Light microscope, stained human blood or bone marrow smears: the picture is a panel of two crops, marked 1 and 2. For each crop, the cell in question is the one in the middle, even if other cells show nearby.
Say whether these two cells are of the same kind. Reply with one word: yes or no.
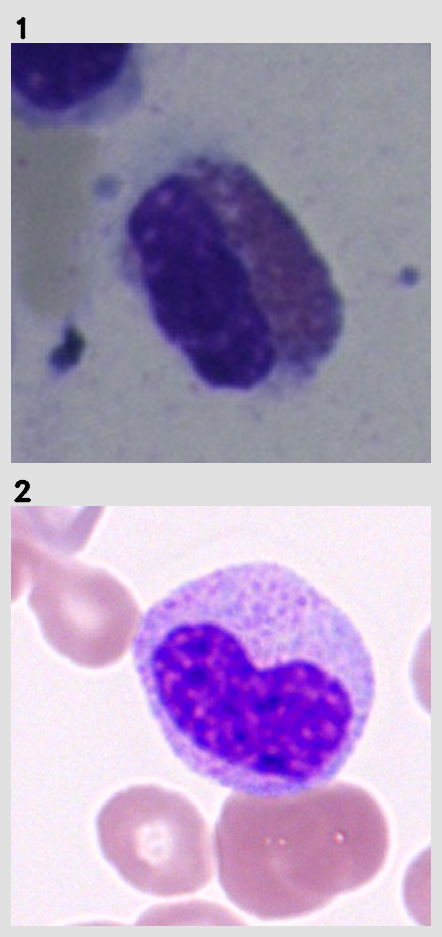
no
